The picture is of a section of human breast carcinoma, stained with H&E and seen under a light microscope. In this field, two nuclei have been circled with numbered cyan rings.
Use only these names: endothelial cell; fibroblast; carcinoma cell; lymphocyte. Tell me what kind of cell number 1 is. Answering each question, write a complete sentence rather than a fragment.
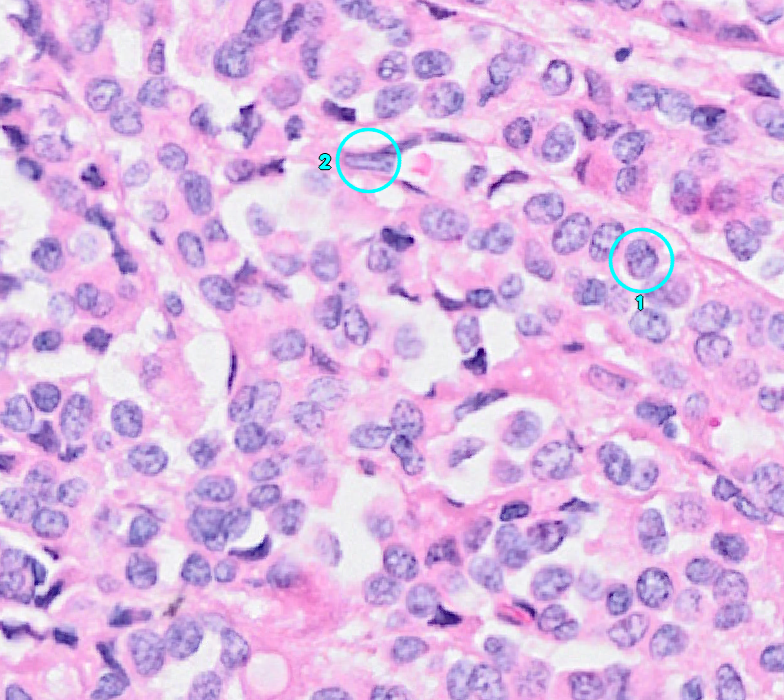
Numbered cell 1 is a carcinoma cell in this tissue section.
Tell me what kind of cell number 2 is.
The cell identified by number 2 is an endothelial cell.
